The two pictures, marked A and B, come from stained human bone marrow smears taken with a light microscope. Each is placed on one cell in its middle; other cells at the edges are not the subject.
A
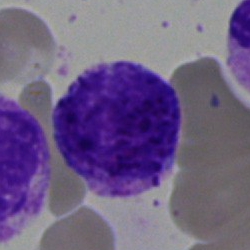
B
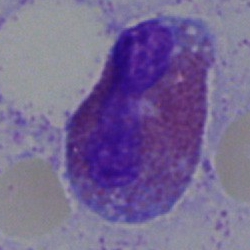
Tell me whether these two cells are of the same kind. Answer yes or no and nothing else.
no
